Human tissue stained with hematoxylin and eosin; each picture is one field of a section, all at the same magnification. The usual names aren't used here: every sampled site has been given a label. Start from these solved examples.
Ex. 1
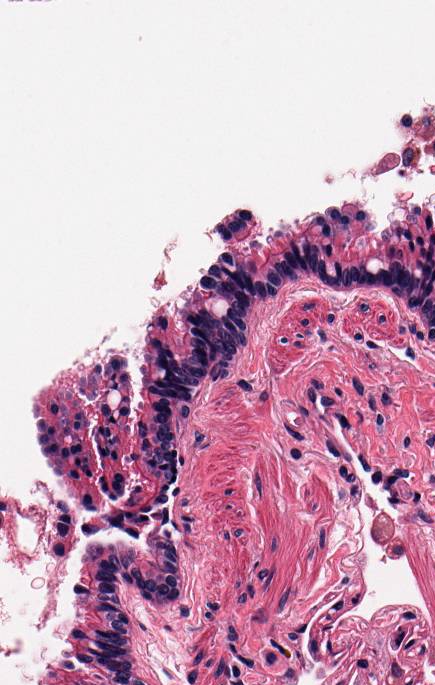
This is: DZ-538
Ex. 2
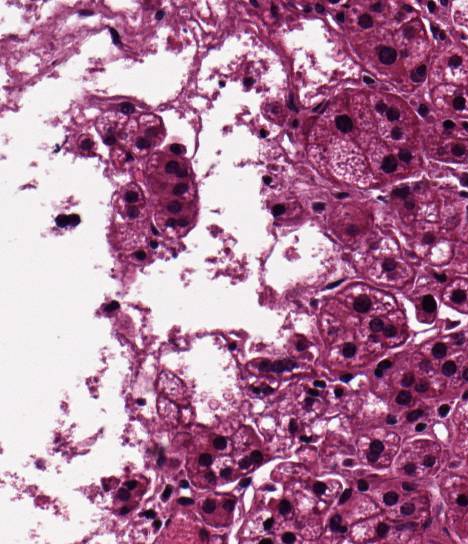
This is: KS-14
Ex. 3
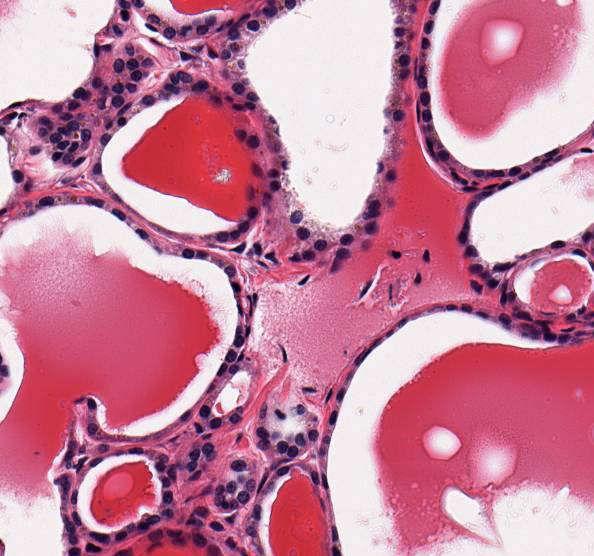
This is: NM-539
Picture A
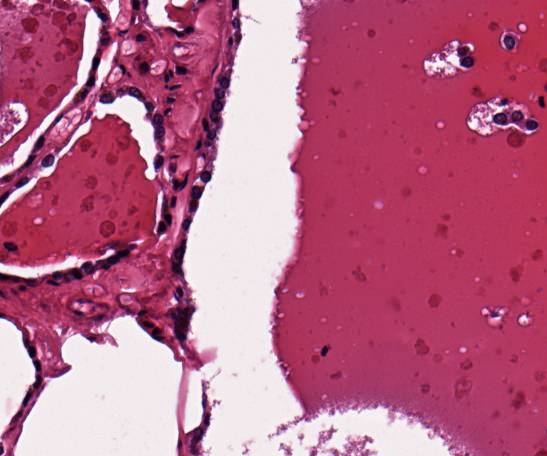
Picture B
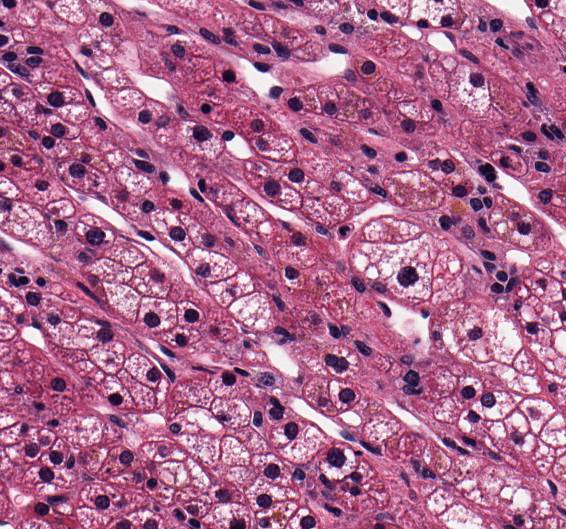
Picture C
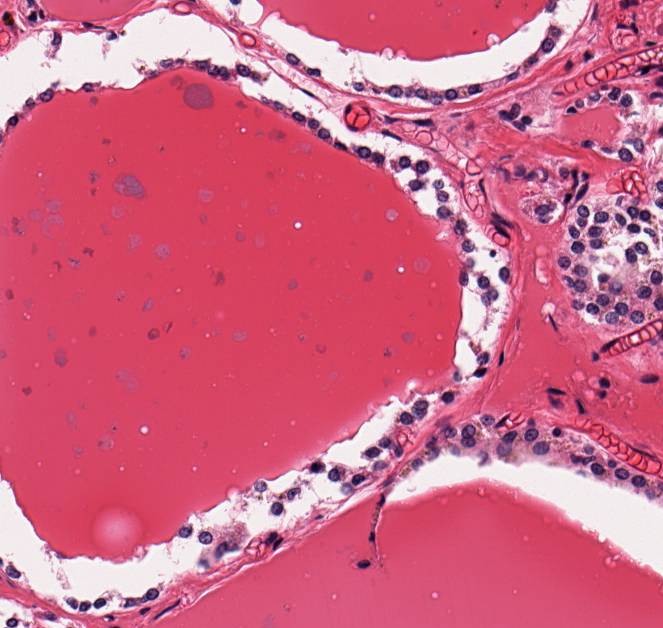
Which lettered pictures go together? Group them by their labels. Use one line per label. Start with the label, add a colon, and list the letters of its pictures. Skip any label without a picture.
KS-14: B
NM-539: A, C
